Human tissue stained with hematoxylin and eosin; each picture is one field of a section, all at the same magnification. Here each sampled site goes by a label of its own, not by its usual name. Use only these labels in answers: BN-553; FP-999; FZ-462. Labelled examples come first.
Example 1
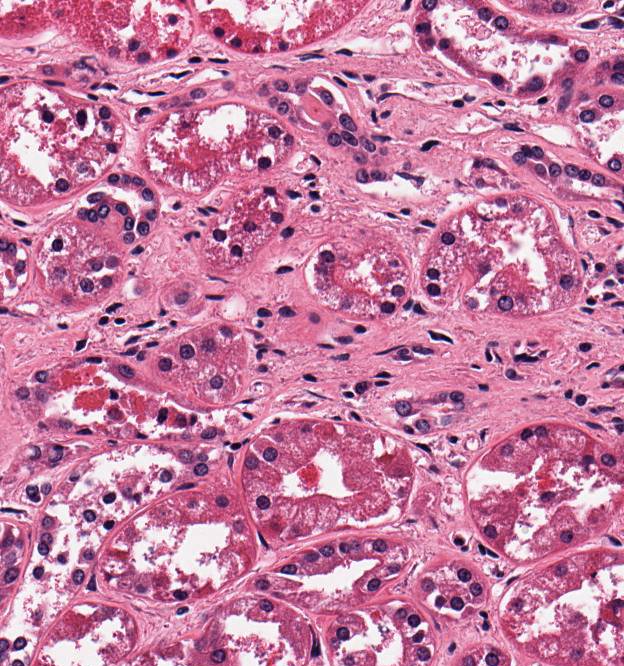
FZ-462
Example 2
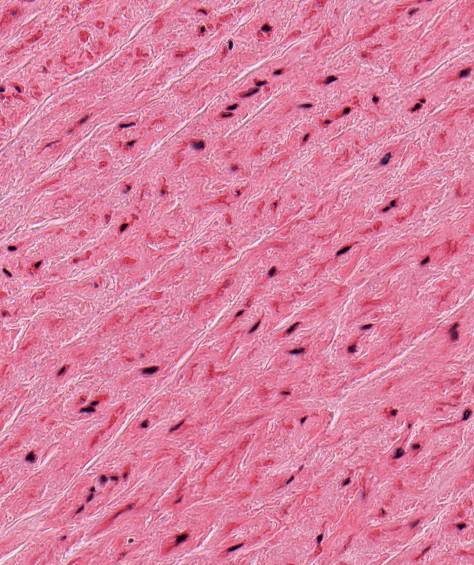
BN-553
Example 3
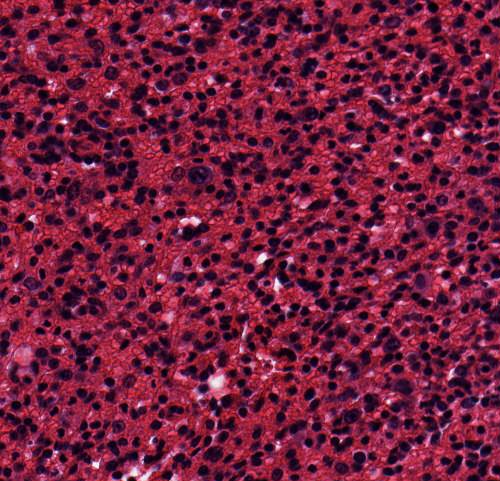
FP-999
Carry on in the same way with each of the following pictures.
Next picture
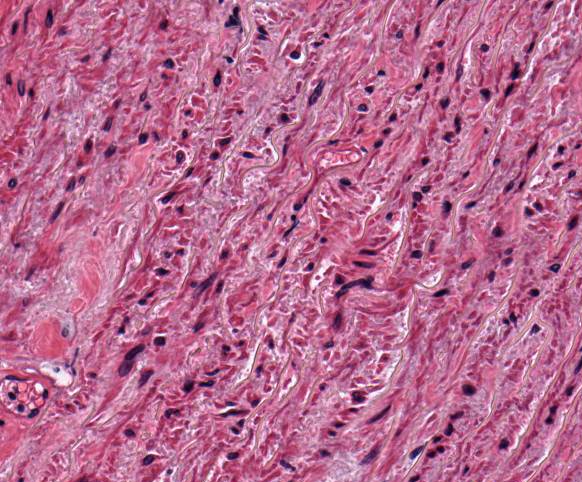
BN-553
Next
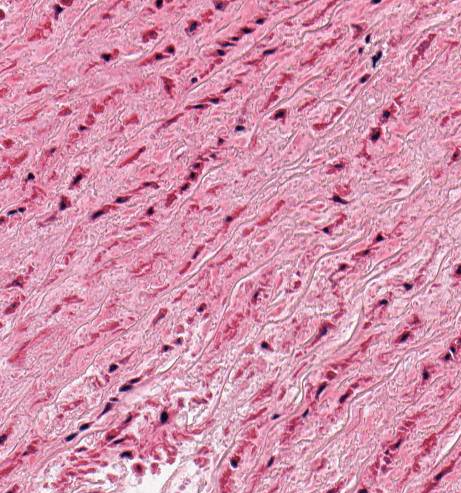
BN-553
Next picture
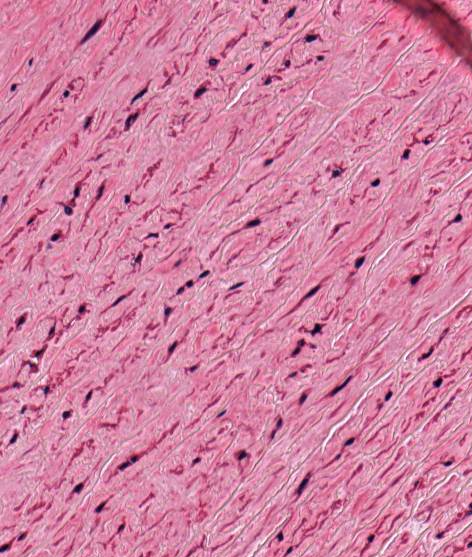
BN-553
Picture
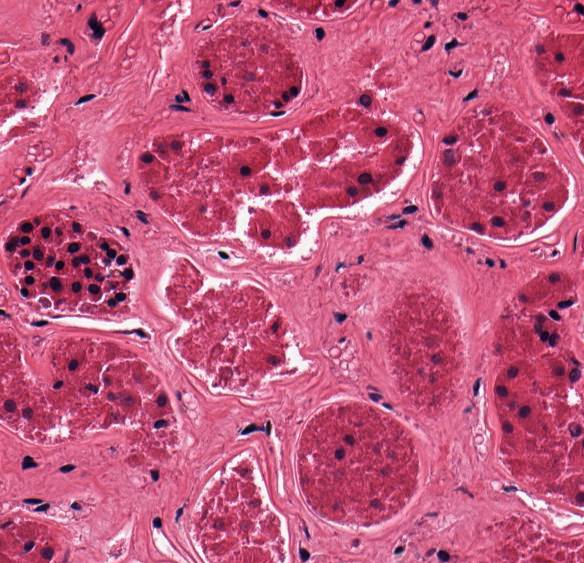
FZ-462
